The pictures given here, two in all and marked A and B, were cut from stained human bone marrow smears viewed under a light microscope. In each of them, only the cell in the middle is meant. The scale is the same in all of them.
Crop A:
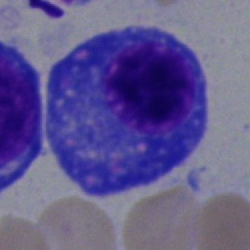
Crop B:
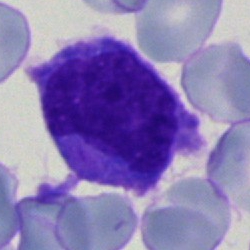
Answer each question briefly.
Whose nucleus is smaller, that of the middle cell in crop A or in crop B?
A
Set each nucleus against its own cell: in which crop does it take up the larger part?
B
